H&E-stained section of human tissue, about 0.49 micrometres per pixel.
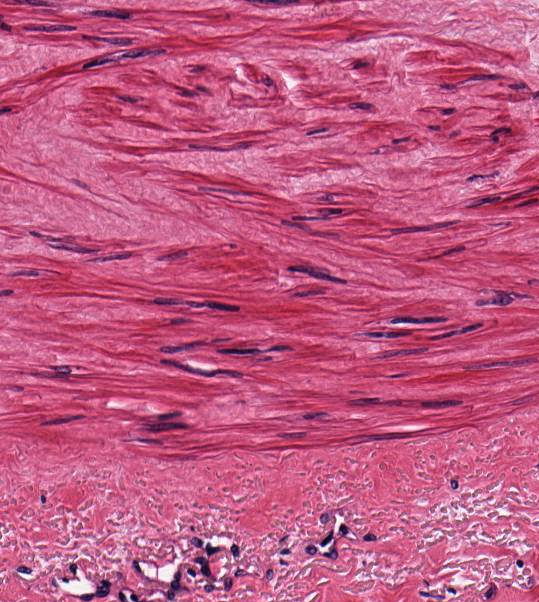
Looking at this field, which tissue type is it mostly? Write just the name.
tunica media of an artery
